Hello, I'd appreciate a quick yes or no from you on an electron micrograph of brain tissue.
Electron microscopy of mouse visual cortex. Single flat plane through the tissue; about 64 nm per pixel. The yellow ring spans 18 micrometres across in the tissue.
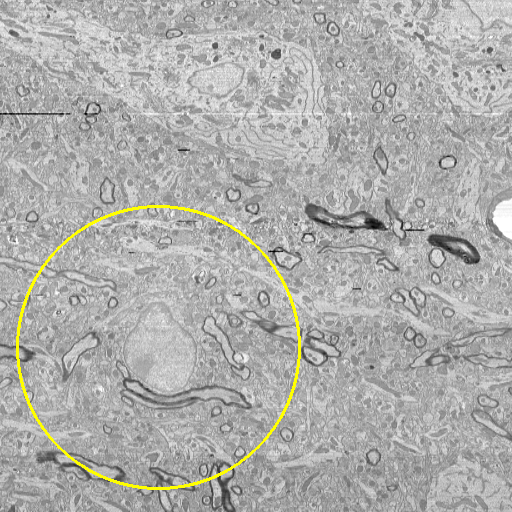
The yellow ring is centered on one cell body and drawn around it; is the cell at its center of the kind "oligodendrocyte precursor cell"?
no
